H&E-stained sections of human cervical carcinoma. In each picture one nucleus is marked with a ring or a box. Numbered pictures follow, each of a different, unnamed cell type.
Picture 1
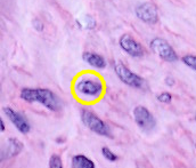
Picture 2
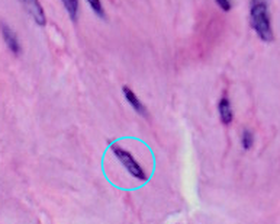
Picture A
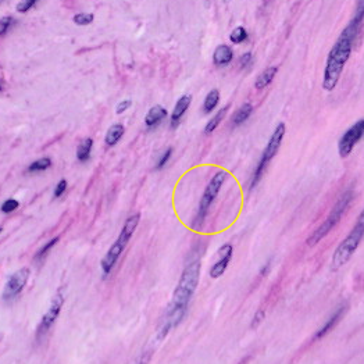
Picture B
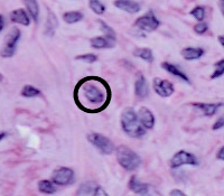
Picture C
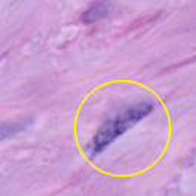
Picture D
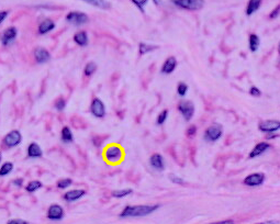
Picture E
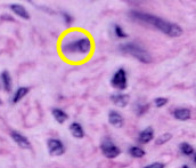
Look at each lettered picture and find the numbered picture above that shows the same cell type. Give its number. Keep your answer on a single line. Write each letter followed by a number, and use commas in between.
A 1, B 1, C 2, D 1, E 1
